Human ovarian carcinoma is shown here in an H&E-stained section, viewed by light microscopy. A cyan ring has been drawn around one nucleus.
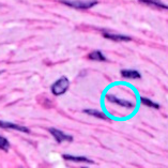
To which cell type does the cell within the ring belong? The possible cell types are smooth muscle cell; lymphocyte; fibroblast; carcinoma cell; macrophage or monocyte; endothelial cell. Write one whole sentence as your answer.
It is a fibroblast that the cell within the ring represents.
